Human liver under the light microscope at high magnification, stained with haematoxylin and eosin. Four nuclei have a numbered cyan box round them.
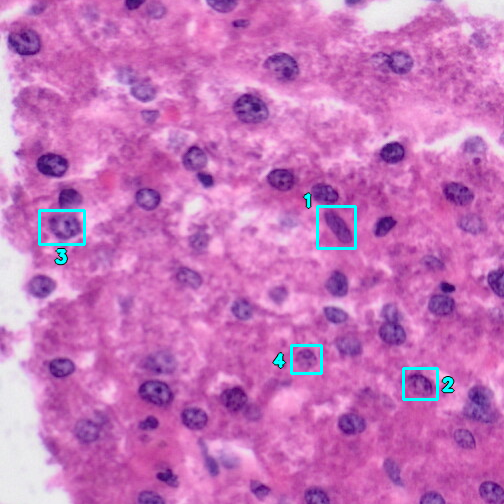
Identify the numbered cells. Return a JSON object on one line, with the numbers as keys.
{"1": "Kupffer cell", "2": "hepatocyte", "3": "hepatocyte", "4": "hepatocyte"}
